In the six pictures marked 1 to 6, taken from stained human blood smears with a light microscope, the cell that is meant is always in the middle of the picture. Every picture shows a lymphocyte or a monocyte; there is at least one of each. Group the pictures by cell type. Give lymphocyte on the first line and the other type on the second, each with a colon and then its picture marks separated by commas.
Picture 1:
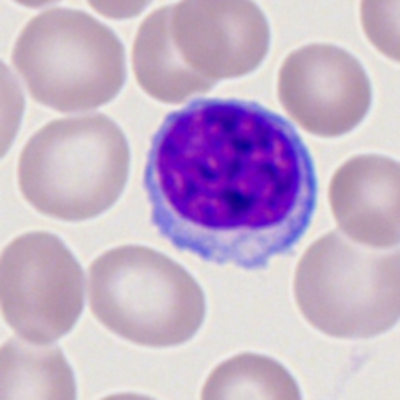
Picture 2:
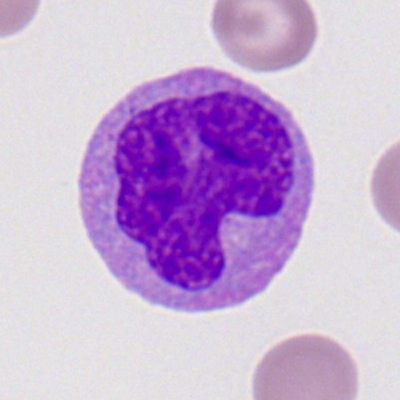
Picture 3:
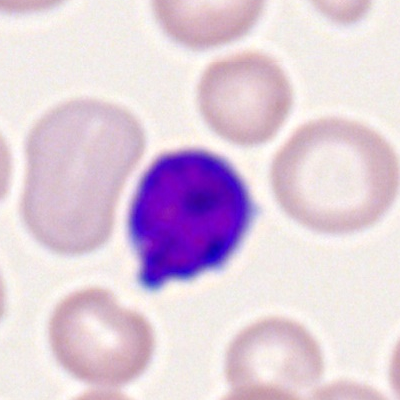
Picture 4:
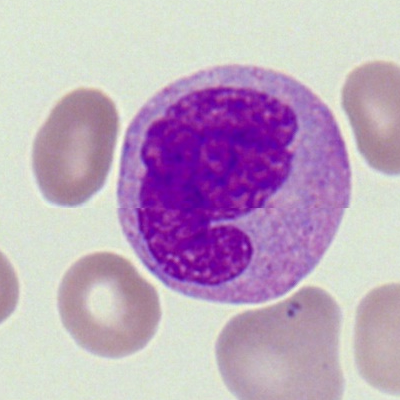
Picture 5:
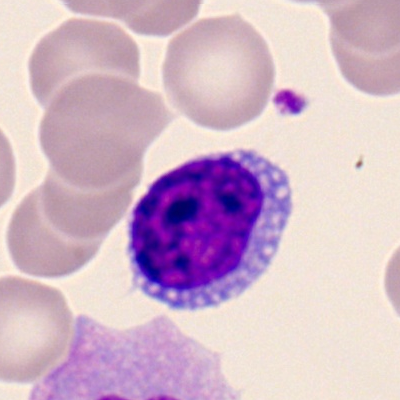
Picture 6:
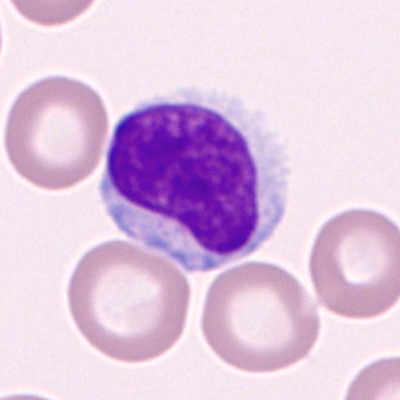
lymphocyte: 1, 3, 5, 6
monocyte: 2, 4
